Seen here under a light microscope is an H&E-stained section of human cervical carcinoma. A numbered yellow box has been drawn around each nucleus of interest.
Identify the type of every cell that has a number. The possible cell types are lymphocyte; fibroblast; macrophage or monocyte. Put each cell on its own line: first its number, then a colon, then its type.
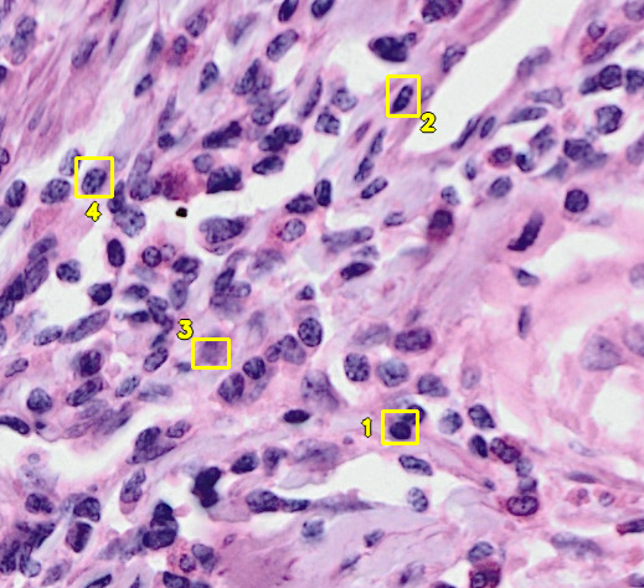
1: lymphocyte
2: lymphocyte
3: macrophage or monocyte
4: lymphocyte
